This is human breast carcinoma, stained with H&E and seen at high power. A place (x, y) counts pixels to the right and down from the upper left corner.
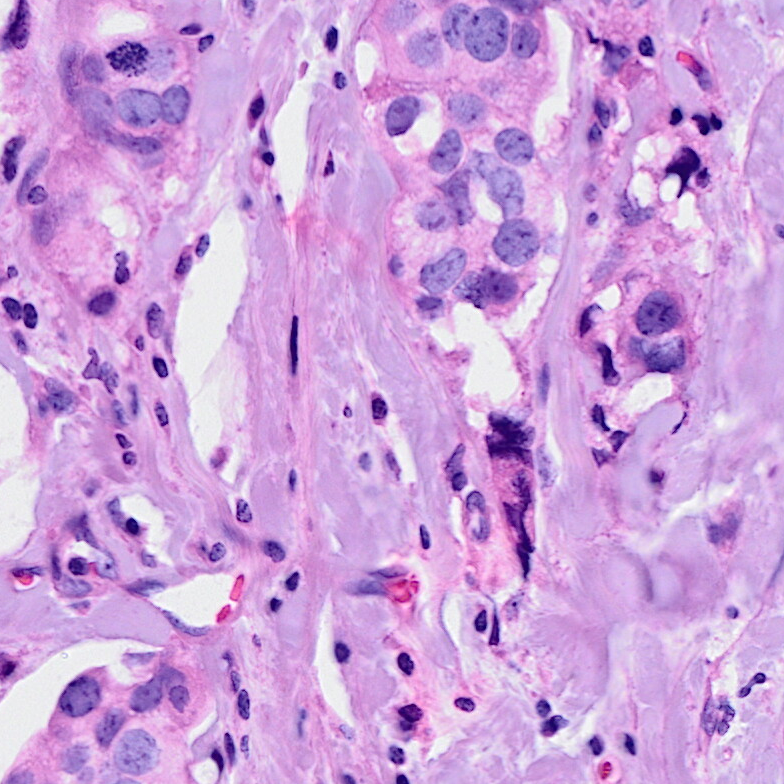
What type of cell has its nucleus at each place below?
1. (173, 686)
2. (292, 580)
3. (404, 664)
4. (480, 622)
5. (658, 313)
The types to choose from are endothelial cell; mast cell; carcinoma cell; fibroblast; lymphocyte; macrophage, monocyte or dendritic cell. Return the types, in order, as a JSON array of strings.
["carcinoma cell", "lymphocyte", "lymphocyte", "lymphocyte", "carcinoma cell"]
